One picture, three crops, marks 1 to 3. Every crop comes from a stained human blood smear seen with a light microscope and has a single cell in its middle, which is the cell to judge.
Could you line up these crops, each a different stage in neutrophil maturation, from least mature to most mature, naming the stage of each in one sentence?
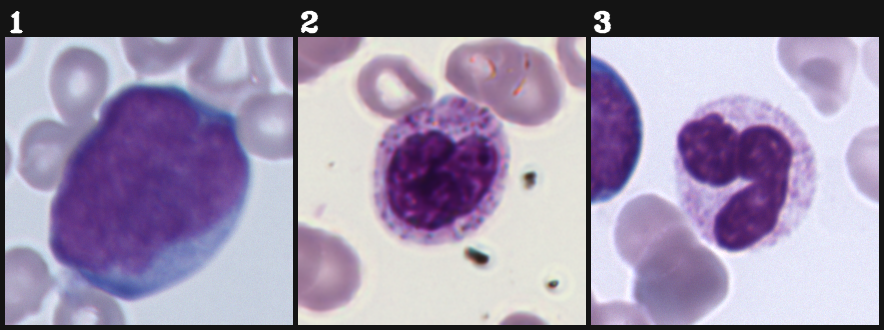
The maturity ranking, beginning with the least mature, is crop 1 (a myeloblast), crop 2 (a band neutrophil) and crop 3 (a segmented neutrophil).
